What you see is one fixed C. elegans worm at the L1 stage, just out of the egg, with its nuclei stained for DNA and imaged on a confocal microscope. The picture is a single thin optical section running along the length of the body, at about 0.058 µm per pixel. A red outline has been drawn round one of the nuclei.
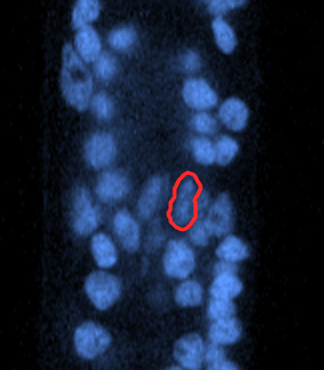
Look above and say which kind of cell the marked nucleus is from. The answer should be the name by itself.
pharyngeal marginal cell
